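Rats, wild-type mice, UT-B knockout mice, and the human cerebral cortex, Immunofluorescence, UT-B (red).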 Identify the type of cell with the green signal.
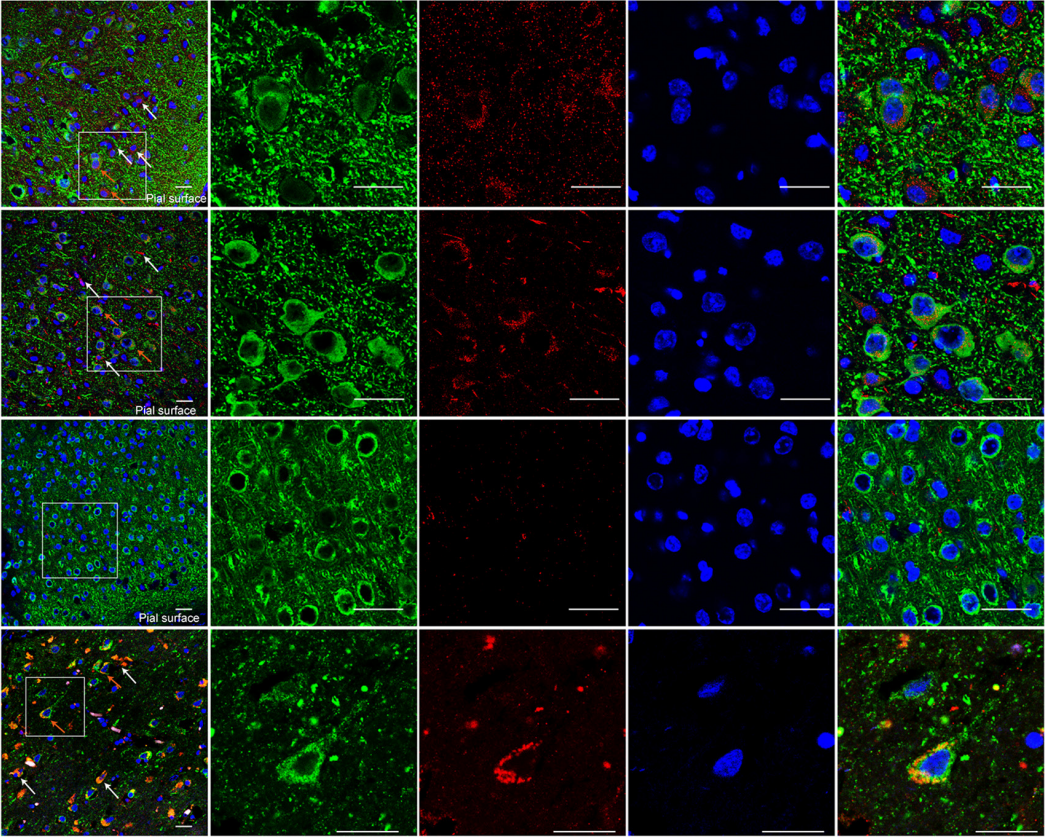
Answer: Neurons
